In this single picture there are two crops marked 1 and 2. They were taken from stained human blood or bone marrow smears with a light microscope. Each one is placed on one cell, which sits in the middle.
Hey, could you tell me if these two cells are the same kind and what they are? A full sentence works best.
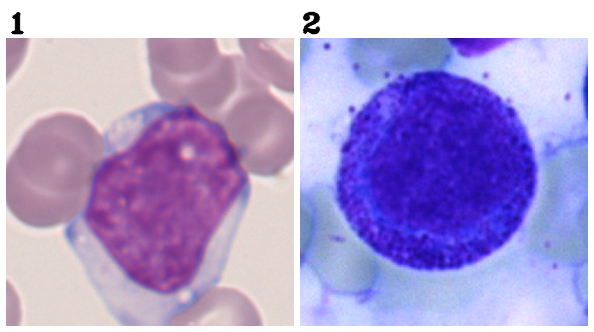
No, the central cell of crop 1 is a blast; that of crop 2 is a promyelocyte.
